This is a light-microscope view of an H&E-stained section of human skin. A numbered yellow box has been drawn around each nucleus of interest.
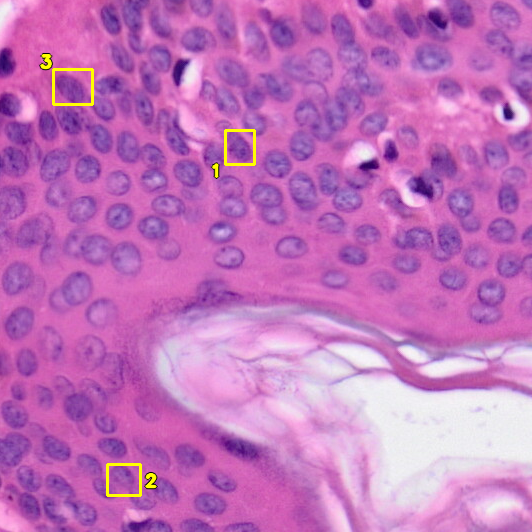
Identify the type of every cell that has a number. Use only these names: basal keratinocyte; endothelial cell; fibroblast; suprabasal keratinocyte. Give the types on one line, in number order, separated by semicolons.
basal keratinocyte; suprabasal keratinocyte; basal keratinocyte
